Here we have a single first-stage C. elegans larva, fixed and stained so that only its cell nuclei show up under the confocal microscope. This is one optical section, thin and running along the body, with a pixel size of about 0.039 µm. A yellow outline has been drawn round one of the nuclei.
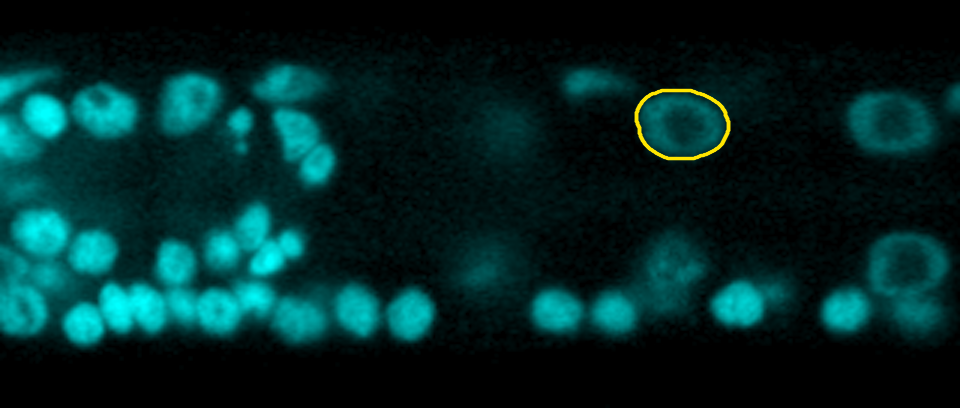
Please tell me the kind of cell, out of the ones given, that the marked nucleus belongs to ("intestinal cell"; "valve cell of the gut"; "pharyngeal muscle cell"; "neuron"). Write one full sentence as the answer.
It is the nucleus of an intestinal cell.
